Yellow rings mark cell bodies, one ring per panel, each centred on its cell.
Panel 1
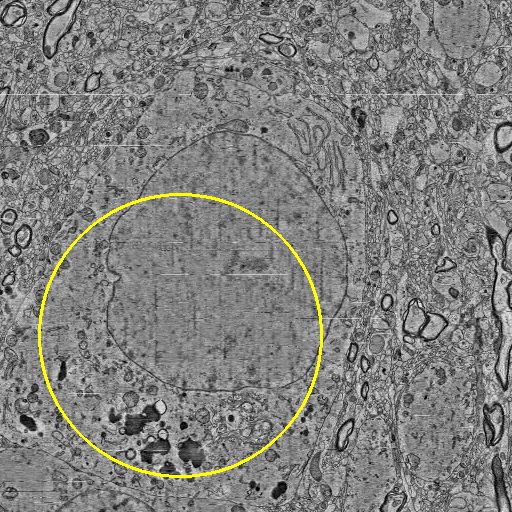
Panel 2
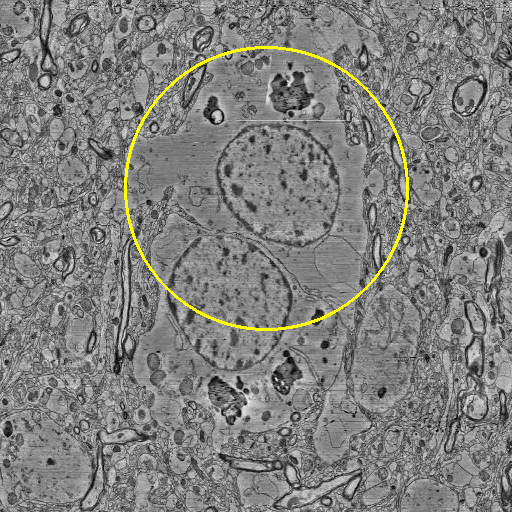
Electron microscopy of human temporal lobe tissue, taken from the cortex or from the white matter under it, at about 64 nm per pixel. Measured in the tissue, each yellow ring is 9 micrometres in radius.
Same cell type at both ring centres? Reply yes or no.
no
